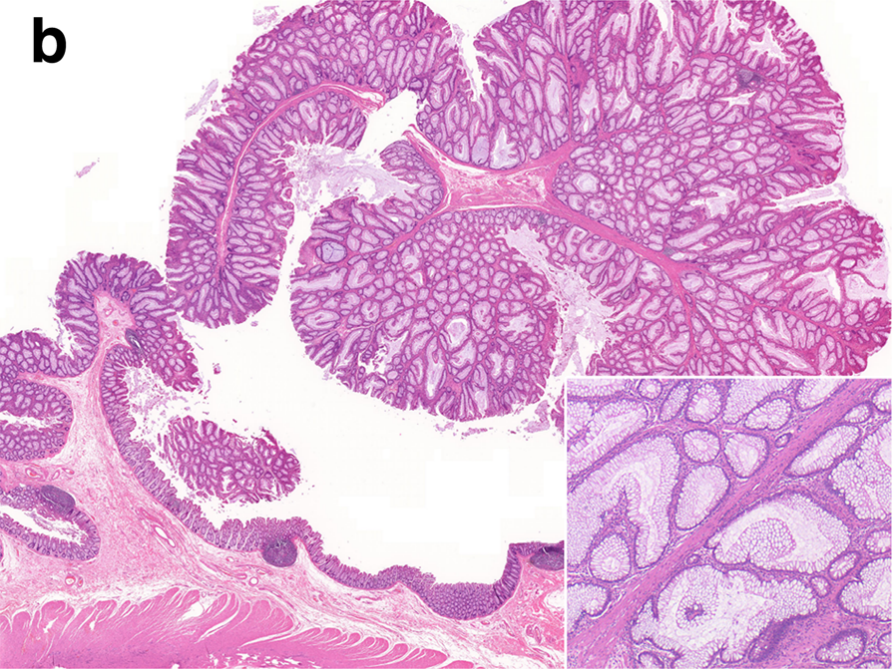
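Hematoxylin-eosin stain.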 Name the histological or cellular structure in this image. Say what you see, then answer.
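Thin pink bands of smooth muscle branch through the polyp from its stalk into the lobules. In the inset a pink muscle band runs diagonally between glands. On this evidence: branching bands of the muscularis mucosae.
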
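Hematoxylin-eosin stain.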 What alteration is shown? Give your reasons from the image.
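Multilobulated. The polyp is divided into several rounded lobes. The lobes hang from a branching central core.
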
